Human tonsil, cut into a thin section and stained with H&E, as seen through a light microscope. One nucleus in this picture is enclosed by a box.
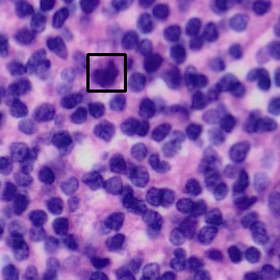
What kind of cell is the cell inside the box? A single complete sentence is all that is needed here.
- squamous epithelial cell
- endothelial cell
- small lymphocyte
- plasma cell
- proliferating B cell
Assigned to a cell type, the cell inside the box is a proliferating B cell.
